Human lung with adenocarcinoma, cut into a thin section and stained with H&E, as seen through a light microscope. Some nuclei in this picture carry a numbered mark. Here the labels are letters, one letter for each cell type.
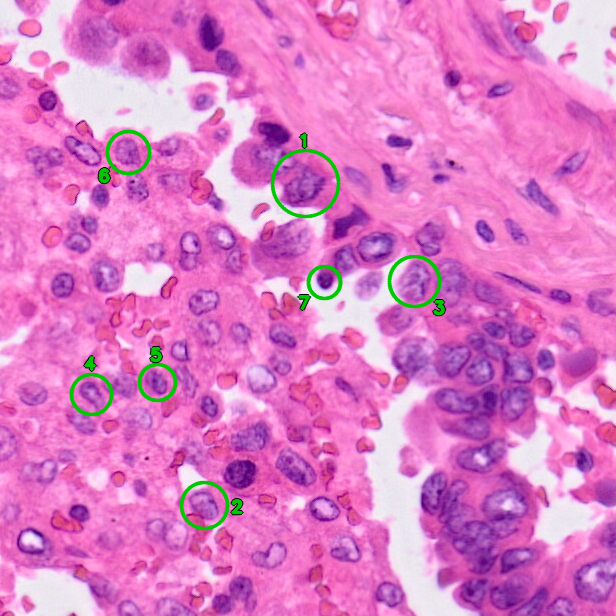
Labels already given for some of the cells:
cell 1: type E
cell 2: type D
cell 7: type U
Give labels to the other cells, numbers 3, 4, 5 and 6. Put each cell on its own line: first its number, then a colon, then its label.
3: type E
4: type D
5: type D
6: type D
